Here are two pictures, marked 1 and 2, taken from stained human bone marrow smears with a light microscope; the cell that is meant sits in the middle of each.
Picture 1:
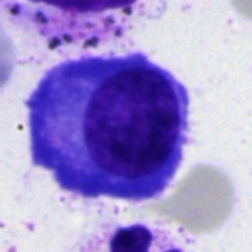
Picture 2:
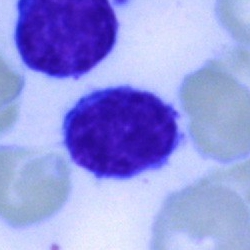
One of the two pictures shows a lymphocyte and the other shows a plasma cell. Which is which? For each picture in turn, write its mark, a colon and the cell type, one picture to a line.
1: plasma cell
2: lymphocyte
